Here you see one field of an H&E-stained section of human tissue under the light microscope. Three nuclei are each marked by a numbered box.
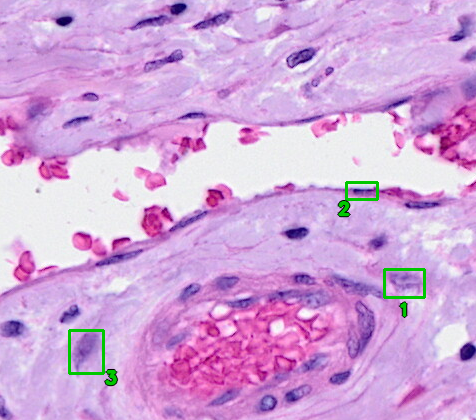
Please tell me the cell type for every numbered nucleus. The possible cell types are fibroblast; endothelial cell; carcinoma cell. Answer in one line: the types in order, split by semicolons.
fibroblast; endothelial cell; fibroblast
